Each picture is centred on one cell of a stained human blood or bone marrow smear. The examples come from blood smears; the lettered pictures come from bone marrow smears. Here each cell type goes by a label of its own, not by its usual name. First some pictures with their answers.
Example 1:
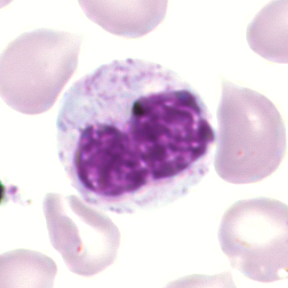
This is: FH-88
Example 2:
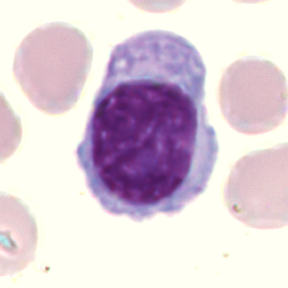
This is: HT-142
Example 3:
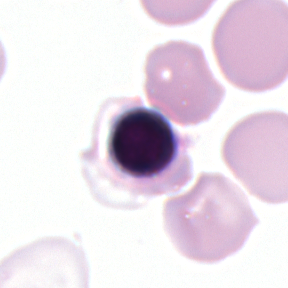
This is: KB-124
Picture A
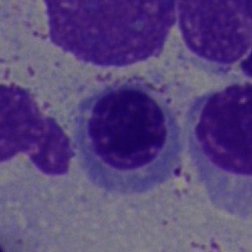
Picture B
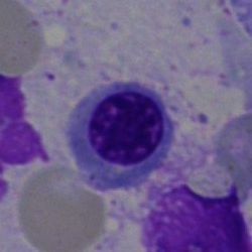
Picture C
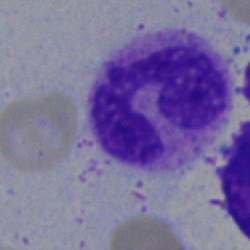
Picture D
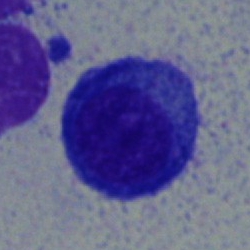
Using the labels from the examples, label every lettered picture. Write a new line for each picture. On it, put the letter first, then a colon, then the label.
A: KB-124
B: KB-124
C: FH-88
D: HT-142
